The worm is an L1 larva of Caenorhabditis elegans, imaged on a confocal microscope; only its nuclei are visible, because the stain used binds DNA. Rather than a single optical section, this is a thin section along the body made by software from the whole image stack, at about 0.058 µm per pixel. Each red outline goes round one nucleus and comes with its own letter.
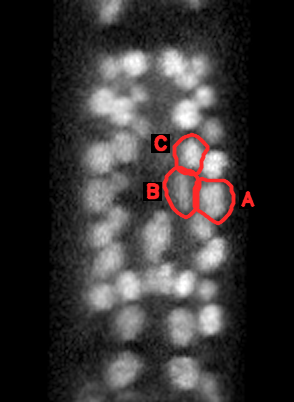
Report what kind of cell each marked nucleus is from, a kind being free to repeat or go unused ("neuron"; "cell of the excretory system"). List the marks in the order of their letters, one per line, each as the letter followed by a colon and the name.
A: neuron
B: cell of the excretory system
C: neuron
